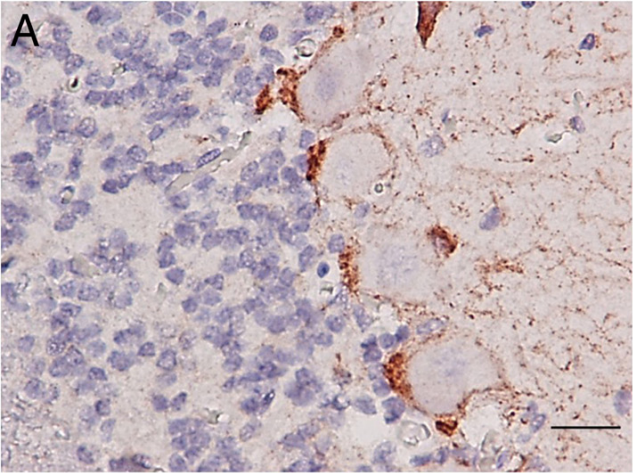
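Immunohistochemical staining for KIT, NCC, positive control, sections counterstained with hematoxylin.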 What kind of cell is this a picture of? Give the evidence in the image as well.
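Purkinje cells. A single row of large rounded cell bodies with pale cytoplasm. The row lies between a dense layer of small closely packed blue nuclei and a paler fibrous layer. Brown granular stain borders the large cell bodies.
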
